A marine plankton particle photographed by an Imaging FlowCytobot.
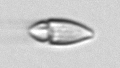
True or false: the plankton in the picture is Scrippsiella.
False; it is Kapelodinium.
